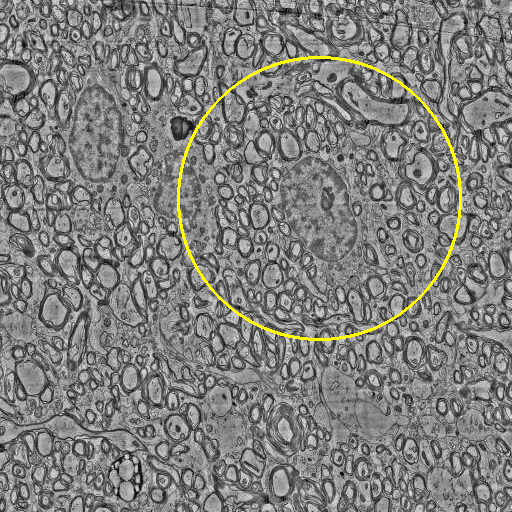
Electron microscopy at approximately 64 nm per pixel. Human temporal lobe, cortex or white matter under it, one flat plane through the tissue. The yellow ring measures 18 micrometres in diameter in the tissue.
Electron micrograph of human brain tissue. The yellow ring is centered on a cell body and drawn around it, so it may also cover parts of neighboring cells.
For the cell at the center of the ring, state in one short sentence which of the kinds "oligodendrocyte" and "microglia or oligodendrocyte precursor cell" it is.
This ring is centered on an oligodendrocyte.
